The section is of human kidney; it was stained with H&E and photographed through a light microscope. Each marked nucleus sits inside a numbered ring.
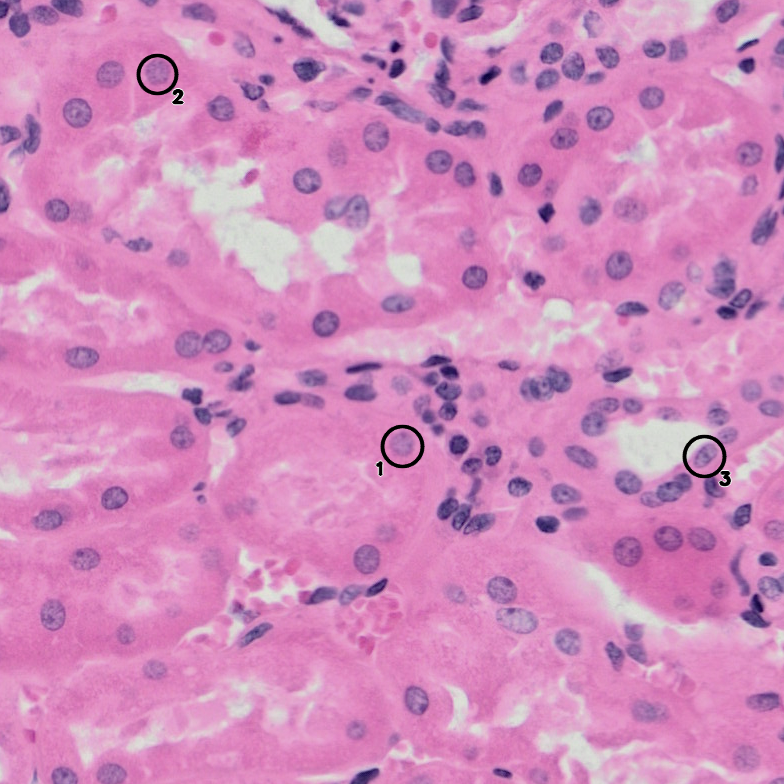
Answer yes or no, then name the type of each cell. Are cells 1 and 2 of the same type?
Yes, cells 1 and 2 are alike in being proximal tubule cells.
